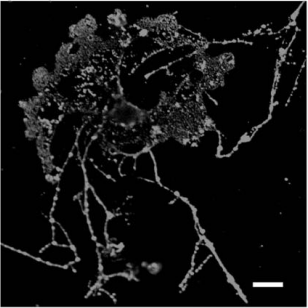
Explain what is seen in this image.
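A cultured oligodendrocyte is shown with a flattened, irregular membrane sheet of granular texture around the cell body. Numerous long, thin processes with bead-like swellings branch out from the sheet and extend across the field.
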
